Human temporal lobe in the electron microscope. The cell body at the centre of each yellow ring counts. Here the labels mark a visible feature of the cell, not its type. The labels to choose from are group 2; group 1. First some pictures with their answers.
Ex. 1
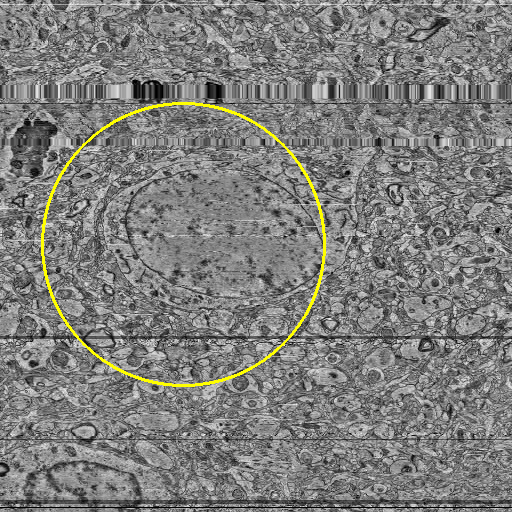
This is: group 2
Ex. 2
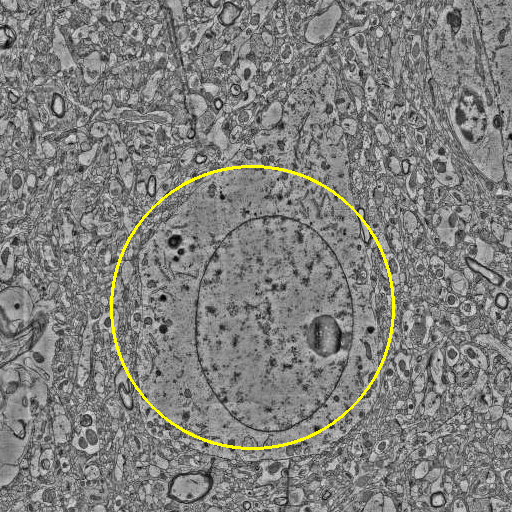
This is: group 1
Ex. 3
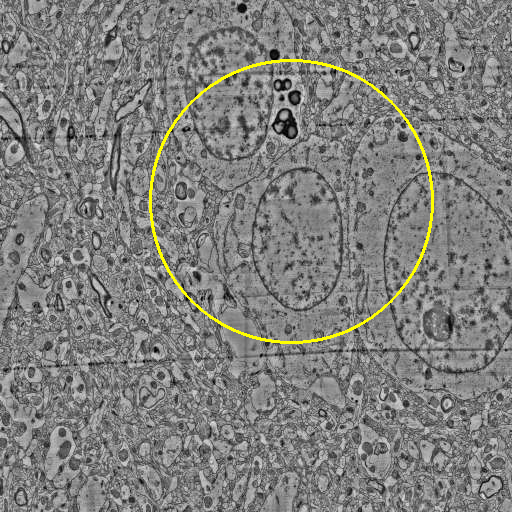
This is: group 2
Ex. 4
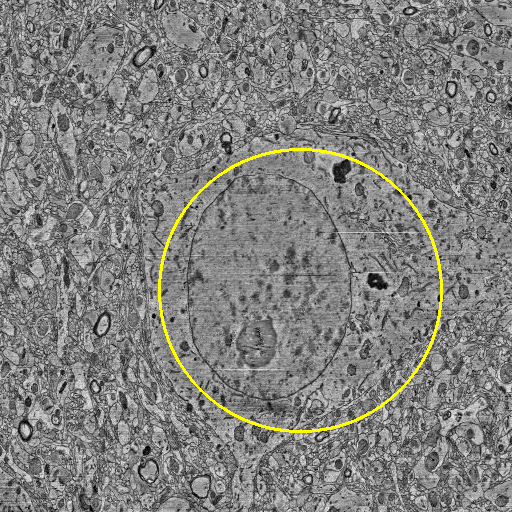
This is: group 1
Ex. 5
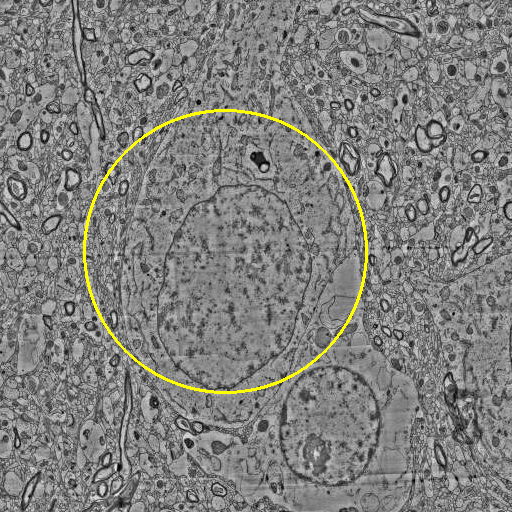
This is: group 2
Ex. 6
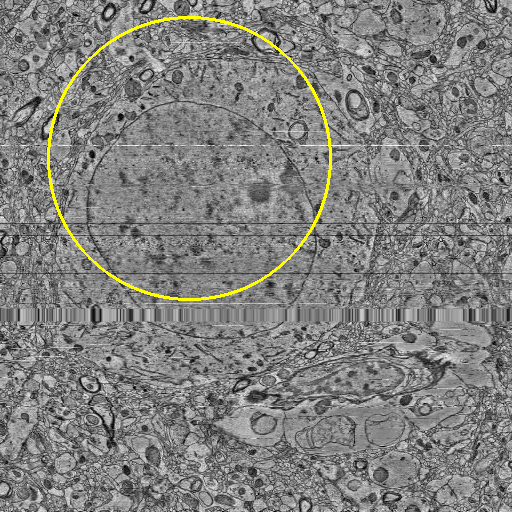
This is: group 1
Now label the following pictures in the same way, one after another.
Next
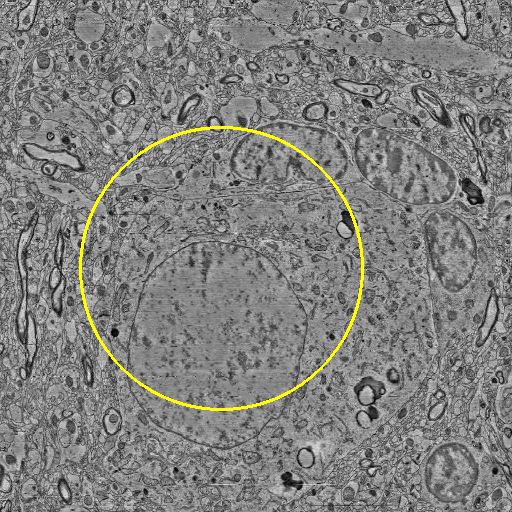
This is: group 2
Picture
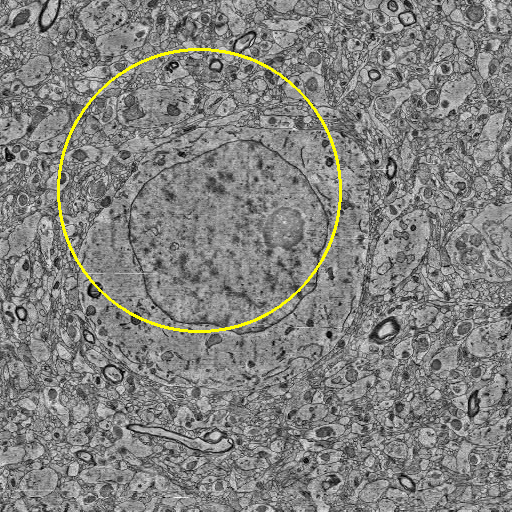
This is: group 1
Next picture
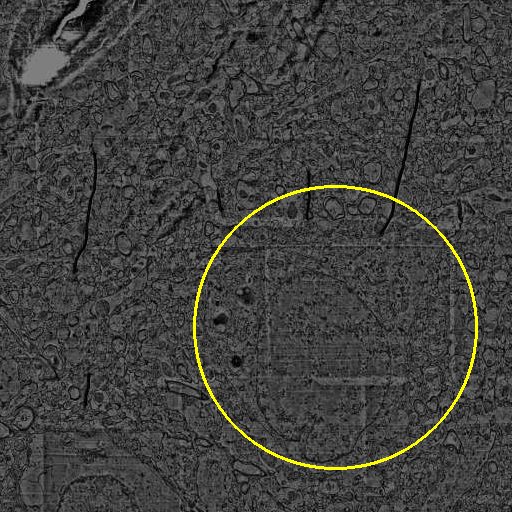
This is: group 2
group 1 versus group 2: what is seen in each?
group 1, nucleolus seen; group 2, no nucleolus seen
